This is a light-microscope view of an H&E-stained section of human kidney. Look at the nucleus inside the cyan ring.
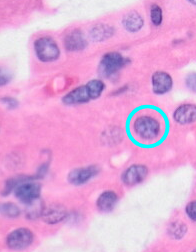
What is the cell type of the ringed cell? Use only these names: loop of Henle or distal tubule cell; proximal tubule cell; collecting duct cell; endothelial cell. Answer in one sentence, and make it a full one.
As to its cell type, the ringed cell is a loop of Henle or distal tubule cell.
